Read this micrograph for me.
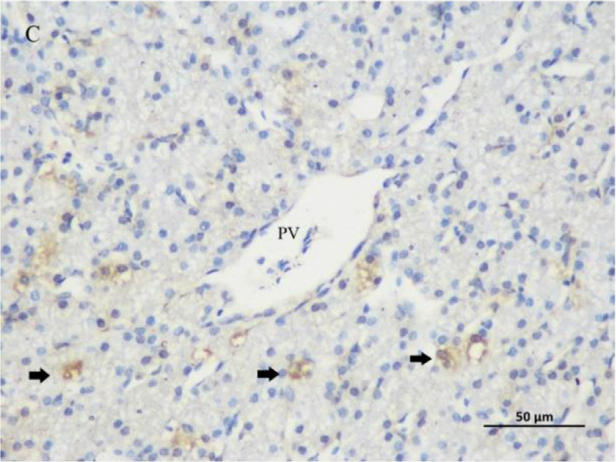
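Most liver cells have pale blue-grey cytoplasm and round blue nuclei. Brown to yellow staining is confined to small scattered clusters, several of them marked by arrows in the lower part of the field. Elongated blue nuclei line the thin spaces between the cords.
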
